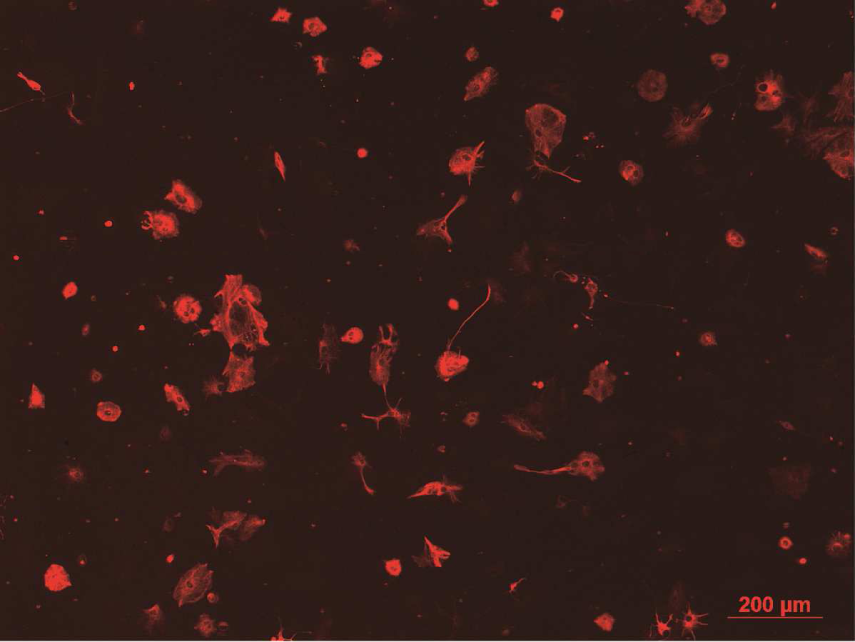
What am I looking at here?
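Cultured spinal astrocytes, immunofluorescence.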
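Many are flat, broad polygonal cells with a filamentous, fibrous-looking red cytoplasm. Others are star-shaped, sending out several thin branching processes, and a few are bipolar with one long slender extension. Some cells are small and rounded with dense red staining. Round unstained areas in the centre of several flat cells mark the nuclei. Cells lie apart from one another with much dark, empty space between them.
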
